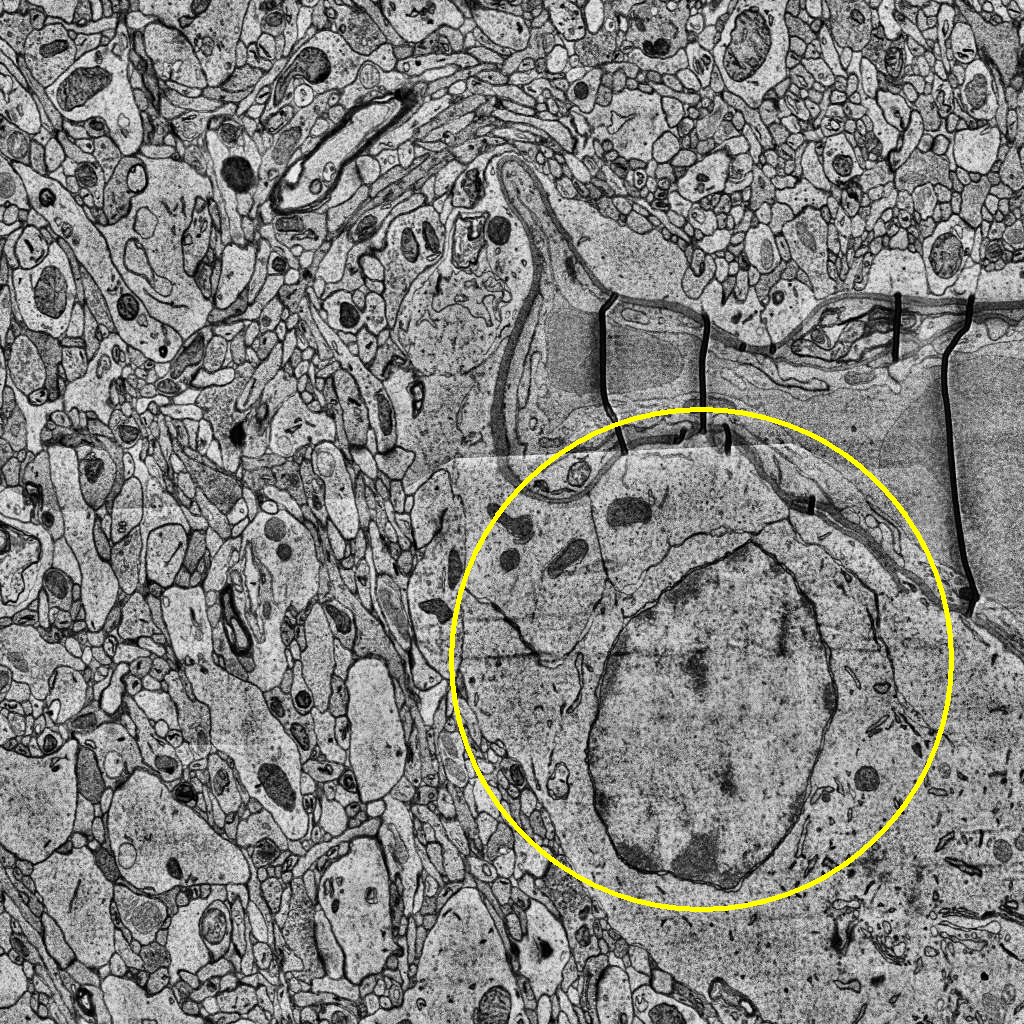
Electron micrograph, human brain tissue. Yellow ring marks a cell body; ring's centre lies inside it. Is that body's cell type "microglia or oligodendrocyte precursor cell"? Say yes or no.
yes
